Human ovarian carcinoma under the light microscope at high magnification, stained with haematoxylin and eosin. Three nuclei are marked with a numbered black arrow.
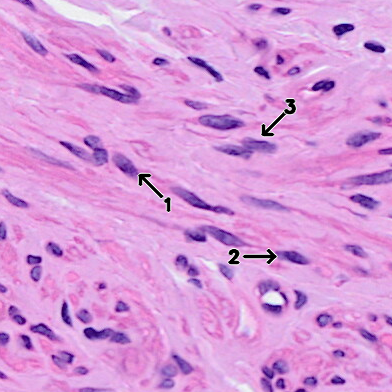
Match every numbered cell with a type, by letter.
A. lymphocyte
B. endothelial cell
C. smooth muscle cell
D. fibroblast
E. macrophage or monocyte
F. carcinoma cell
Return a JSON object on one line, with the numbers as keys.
{"1": "C", "2": "C", "3": "D"}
